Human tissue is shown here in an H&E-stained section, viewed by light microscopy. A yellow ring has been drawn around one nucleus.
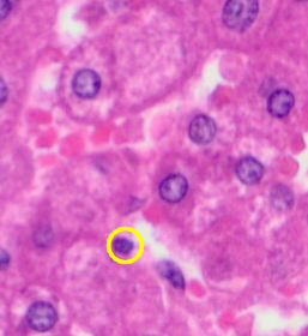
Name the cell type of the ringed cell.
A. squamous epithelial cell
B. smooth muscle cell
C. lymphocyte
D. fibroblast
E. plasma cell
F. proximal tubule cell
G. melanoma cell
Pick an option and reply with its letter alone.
C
